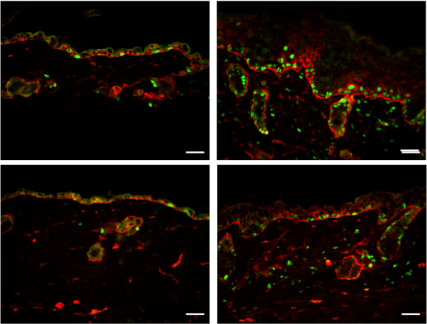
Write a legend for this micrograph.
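These are sections of skin, with the surface epithelium running across the top and the dermis with hair follicles below. In the left column the epidermis is thin, only a few cells deep, with scattered green nuclei. In the right column the epidermis is much thicker, and green nuclei are crowded along the base and also scattered in the dermis below, most densely in the upper image.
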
